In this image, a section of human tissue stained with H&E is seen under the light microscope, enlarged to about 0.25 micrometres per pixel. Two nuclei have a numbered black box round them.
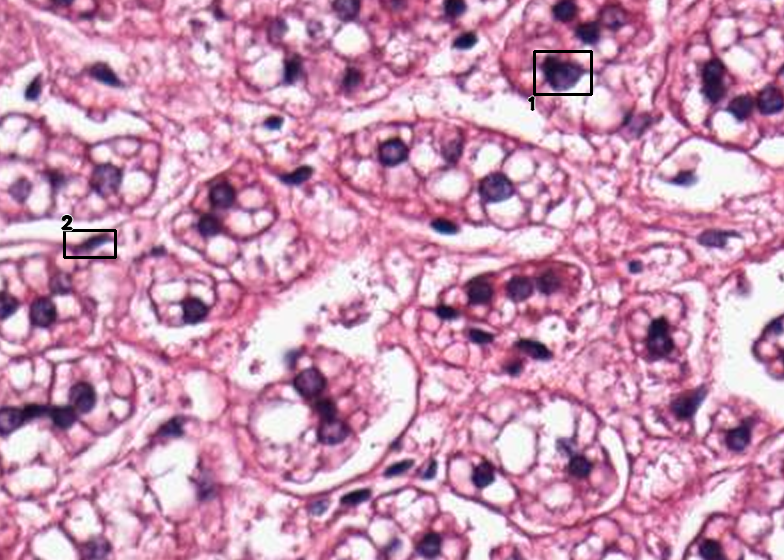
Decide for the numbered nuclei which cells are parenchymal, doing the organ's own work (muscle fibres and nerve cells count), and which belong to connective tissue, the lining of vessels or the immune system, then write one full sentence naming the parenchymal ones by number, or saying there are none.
The parenchymal cell among the marked ones is the cell of nucleus 1.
